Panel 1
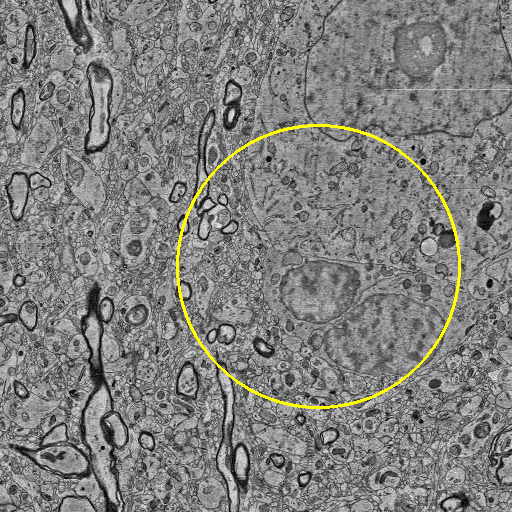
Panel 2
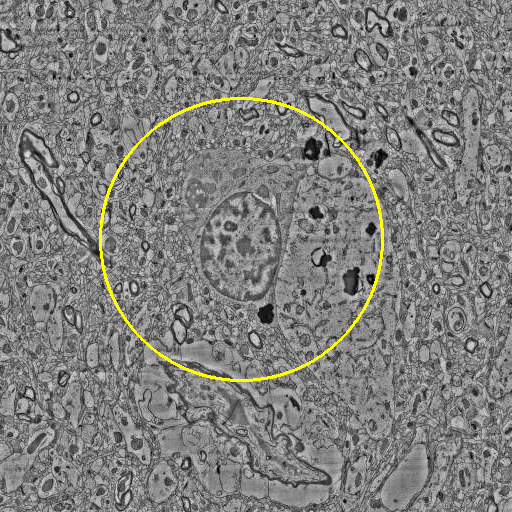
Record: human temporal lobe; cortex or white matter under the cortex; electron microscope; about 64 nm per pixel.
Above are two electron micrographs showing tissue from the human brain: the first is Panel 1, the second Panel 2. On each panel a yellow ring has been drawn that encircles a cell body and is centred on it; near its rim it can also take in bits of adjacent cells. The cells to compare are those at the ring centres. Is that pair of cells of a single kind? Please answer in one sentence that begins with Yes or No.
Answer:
Yes, the ring-centred cells of Panel 1 and Panel 2 belong to one kind.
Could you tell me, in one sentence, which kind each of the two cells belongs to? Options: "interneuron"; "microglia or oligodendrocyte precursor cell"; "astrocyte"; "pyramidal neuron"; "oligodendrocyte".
In both pictures the ring is centred on an oligodendrocyte.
